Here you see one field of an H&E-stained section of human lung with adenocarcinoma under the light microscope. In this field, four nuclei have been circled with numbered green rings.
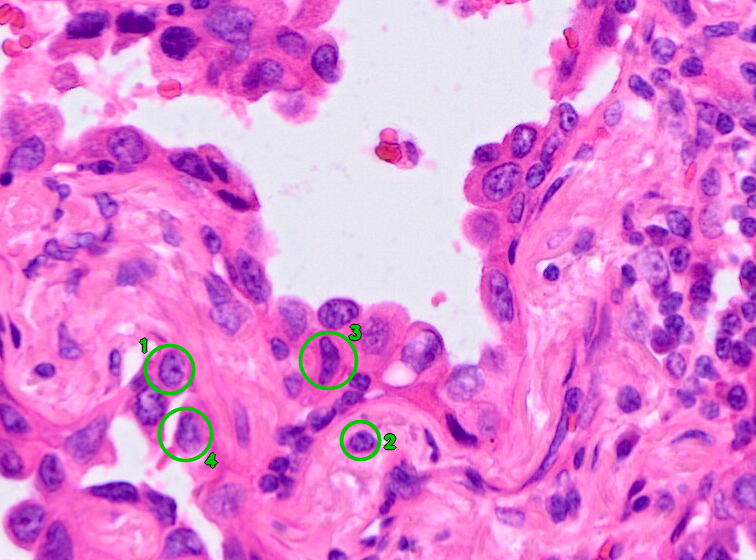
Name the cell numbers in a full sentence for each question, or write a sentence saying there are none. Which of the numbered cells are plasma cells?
Of the cells bearing numbers, the only one that is a plasma cell is cell 2.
